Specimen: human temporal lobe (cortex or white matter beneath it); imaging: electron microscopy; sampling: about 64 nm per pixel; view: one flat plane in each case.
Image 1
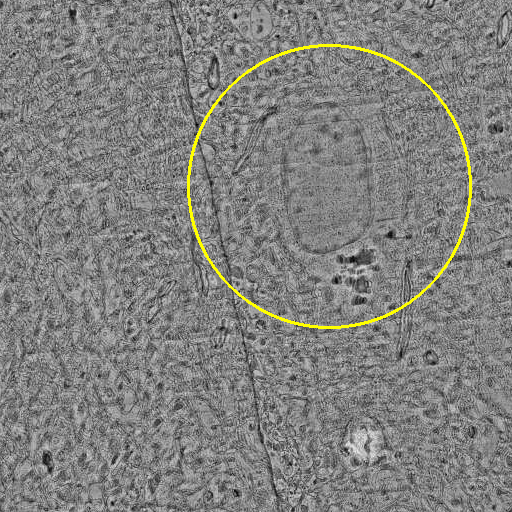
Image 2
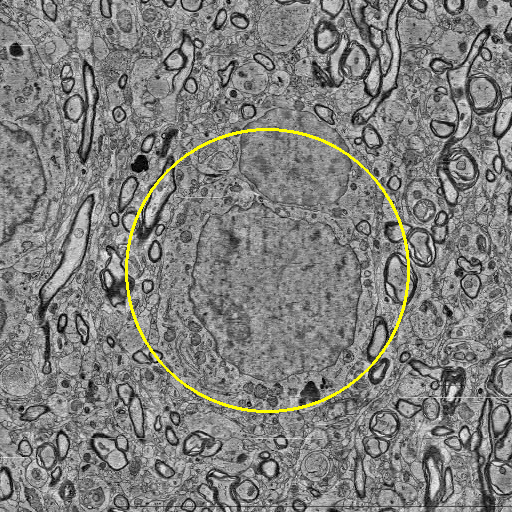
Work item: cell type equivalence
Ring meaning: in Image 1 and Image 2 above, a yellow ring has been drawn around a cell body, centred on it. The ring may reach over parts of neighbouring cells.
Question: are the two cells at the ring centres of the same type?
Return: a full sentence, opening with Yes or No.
No, the two centred cells are of two types.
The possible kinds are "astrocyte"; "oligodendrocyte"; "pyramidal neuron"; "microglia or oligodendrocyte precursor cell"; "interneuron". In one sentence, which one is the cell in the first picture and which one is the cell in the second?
The cell ringed in the second picture is an interneuron, whereas the one ringed in the first is an astrocyte.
